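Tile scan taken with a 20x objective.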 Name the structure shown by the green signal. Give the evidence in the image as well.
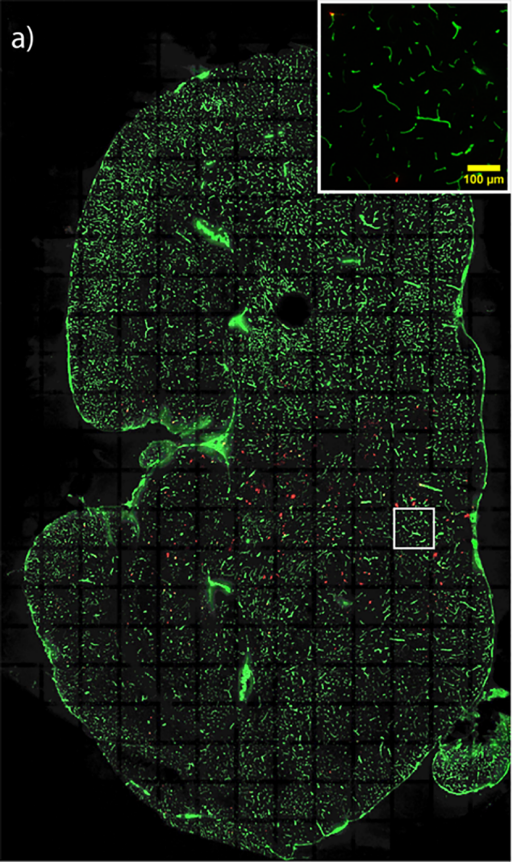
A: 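Blood vessels. Green elongated, branching tubular profiles are scattered densely throughout the section. Some green profiles are larger, wider channels, while most are thin short segments. The inset at higher magnification shows the green profiles as thin, curved, tube-like segments.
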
